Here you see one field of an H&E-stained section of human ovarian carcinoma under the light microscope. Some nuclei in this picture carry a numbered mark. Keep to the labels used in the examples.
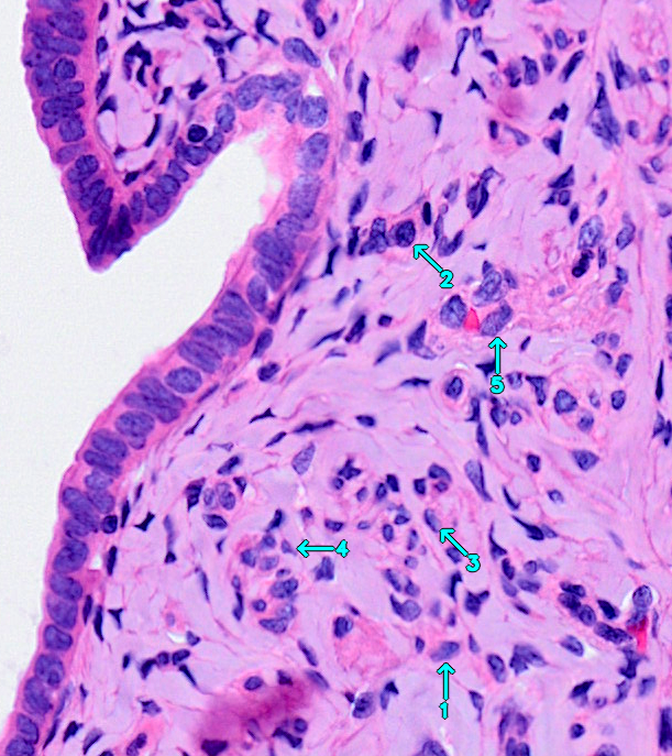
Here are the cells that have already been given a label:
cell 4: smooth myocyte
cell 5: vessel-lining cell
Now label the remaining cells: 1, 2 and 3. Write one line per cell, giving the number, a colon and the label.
1: smooth myocyte
2: vessel-lining cell
3: smooth myocyte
